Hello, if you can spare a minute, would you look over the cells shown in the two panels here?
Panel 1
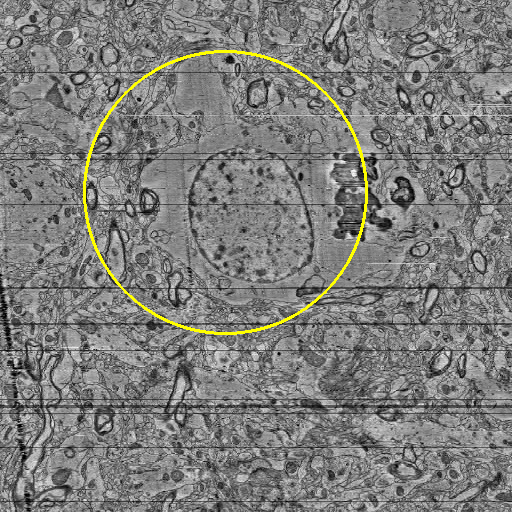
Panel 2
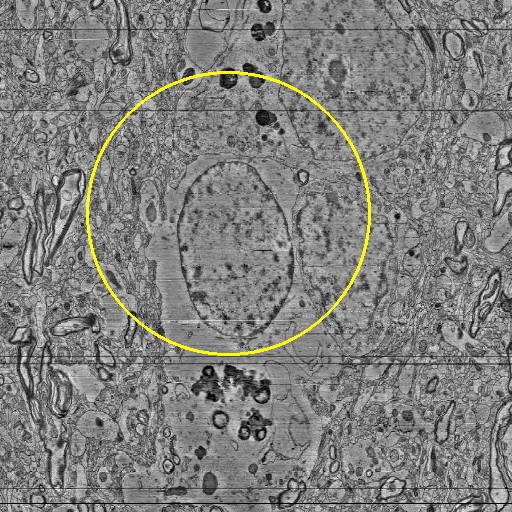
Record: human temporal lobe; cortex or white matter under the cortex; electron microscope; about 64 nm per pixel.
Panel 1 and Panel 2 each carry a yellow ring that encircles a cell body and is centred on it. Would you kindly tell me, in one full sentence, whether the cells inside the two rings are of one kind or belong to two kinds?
The cells at the centres of the rings in Panel 1 and Panel 2 are of one kind.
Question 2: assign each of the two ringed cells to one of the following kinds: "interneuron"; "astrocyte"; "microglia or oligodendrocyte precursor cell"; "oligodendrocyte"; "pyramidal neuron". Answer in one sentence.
Each of the two cells is an astrocyte.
